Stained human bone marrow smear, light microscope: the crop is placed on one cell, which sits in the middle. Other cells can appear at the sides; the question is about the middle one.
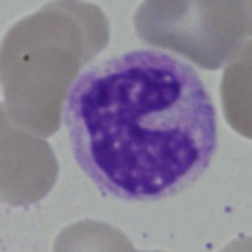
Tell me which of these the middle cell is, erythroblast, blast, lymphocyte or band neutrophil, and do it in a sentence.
The central cell in this smear crop is a band neutrophil.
